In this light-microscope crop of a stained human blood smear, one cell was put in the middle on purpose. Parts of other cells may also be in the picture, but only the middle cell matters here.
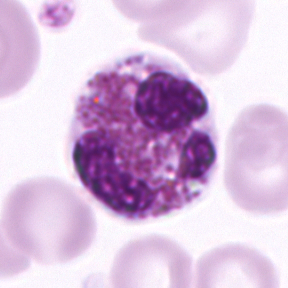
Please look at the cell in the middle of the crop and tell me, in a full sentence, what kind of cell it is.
The central element of this crop is a cell, namely an eosinophil.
